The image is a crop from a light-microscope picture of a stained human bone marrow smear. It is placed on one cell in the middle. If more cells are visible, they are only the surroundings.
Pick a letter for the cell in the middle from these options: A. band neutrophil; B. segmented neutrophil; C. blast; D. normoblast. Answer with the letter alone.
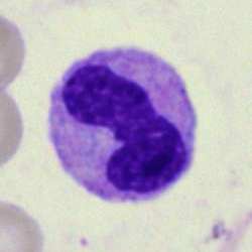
A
